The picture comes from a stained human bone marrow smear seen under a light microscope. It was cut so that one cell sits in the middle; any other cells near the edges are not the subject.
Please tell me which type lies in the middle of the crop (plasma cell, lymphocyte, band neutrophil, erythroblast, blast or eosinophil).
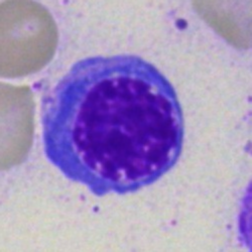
erythroblast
